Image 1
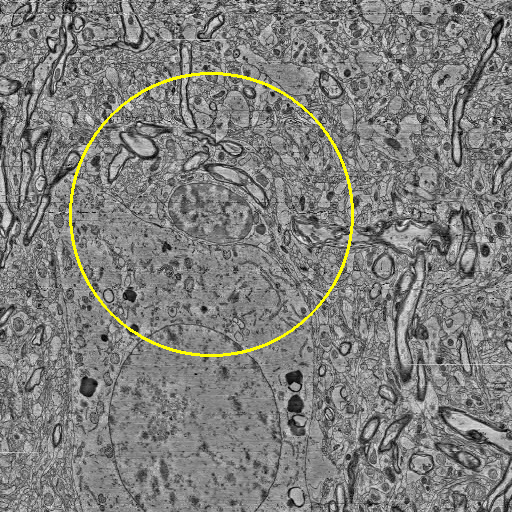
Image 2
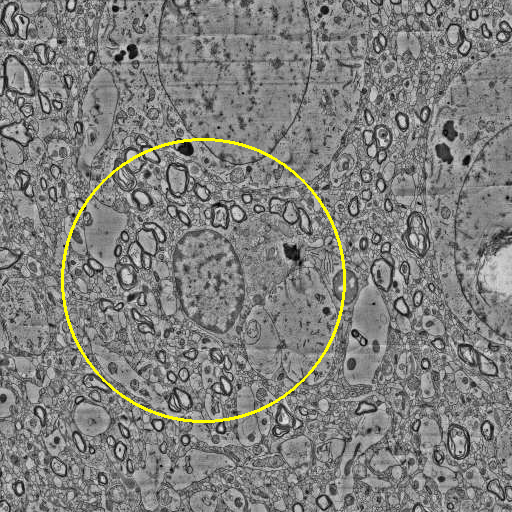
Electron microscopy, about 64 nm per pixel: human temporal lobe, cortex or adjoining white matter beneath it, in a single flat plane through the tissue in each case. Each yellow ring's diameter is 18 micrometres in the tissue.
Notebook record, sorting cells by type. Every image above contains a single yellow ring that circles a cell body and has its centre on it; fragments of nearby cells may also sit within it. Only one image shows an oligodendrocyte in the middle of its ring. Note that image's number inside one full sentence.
For image 2, the cell in the middle of its yellow ring is the match.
